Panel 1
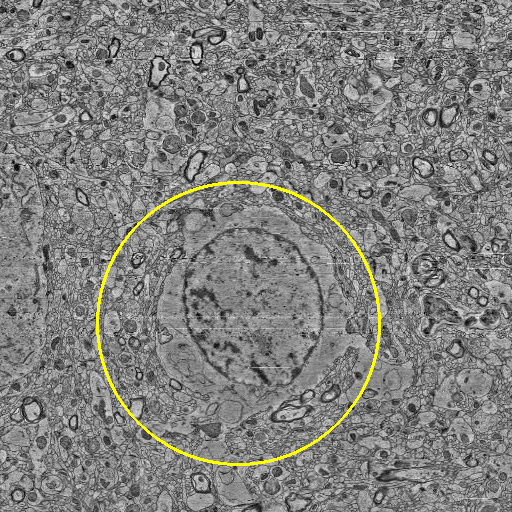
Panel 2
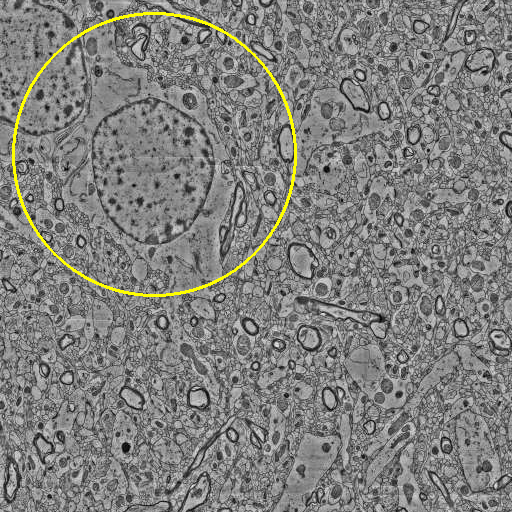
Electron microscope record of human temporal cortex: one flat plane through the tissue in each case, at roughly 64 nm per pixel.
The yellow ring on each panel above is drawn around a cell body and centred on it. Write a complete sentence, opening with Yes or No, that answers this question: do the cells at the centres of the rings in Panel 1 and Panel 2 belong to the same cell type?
Yes, both cells belong to the same cell type.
